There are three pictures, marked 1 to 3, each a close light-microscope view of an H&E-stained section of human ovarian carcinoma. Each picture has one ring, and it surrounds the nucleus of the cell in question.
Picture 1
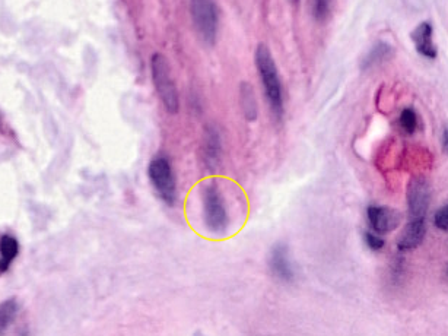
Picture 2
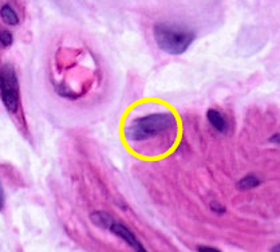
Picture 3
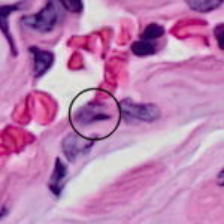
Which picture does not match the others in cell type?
3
